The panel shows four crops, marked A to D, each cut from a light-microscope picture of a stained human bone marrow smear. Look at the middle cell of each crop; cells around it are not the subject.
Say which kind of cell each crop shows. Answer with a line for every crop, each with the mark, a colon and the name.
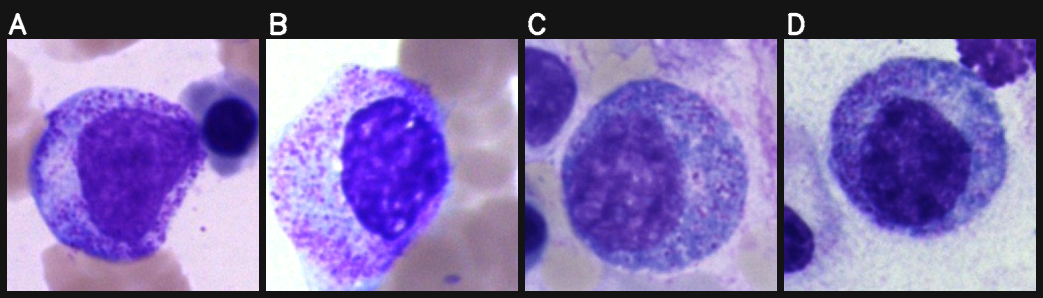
A: promyelocyte
B: myelocyte
C: promyelocyte
D: myelocyte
